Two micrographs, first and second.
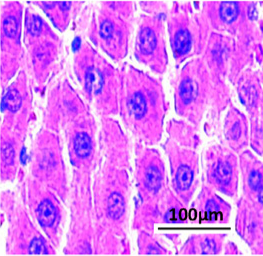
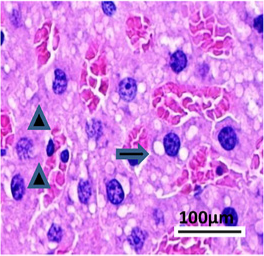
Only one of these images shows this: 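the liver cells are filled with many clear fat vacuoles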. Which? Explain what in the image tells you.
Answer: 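First image: polygonal cells with evenly pink cytoplasm and no clear vacuoles.
Conclusion: the second image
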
